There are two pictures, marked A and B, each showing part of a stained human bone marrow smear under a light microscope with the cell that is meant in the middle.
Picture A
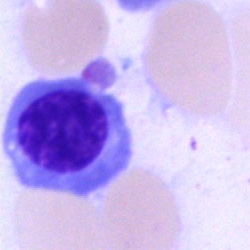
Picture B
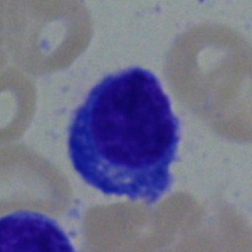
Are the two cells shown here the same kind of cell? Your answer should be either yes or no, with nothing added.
no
